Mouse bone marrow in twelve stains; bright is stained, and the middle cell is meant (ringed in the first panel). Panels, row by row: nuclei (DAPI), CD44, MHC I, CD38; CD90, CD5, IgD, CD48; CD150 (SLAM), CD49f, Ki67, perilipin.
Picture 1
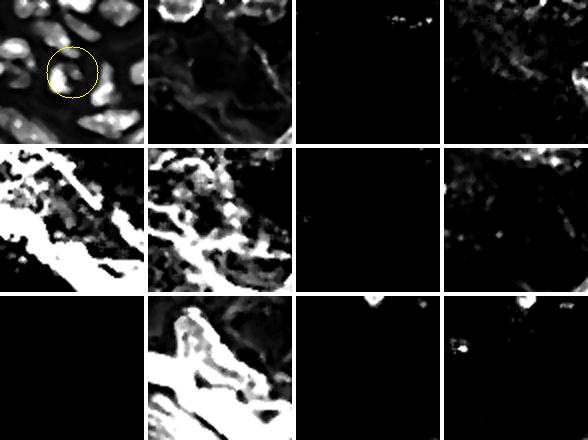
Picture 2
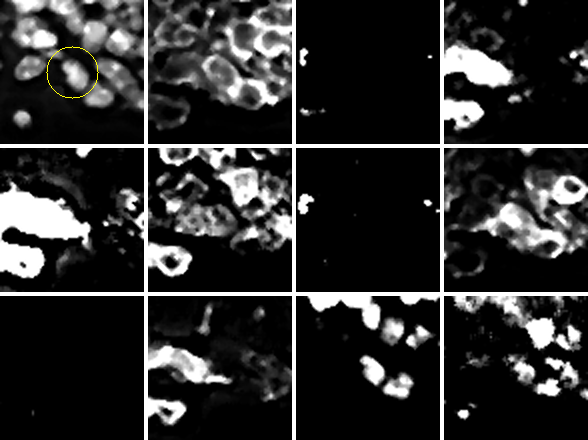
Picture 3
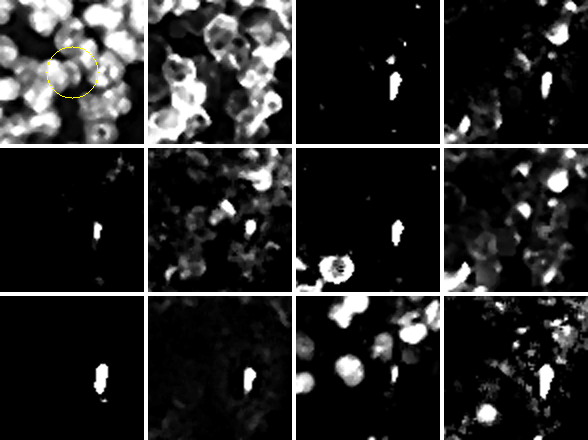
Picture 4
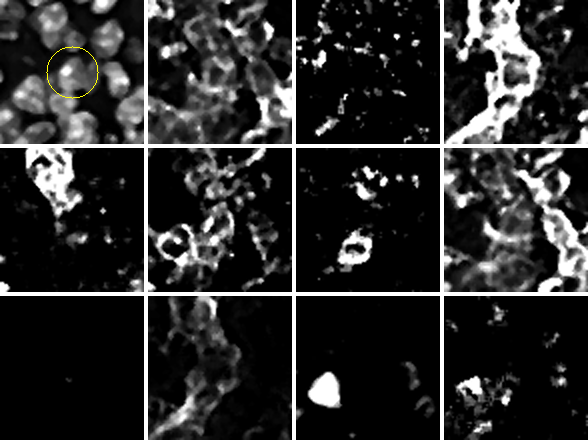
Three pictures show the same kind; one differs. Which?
Picture 3: an erythroblast, while the others are capillary endothelial cells.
